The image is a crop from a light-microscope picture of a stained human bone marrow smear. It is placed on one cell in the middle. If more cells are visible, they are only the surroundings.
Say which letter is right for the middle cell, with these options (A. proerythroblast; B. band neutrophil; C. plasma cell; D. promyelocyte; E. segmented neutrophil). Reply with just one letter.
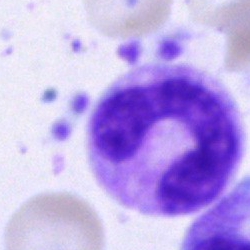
B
